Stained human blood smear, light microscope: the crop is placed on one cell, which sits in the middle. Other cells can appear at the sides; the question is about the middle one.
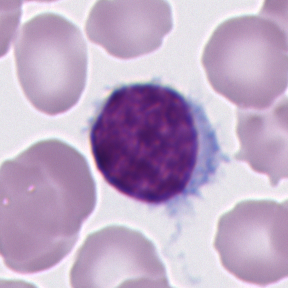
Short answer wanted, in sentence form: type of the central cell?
The centered cell in this crop is a hairy cell.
